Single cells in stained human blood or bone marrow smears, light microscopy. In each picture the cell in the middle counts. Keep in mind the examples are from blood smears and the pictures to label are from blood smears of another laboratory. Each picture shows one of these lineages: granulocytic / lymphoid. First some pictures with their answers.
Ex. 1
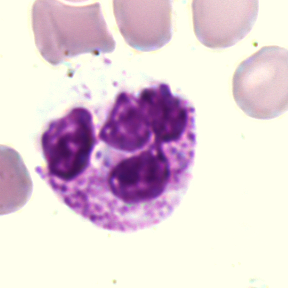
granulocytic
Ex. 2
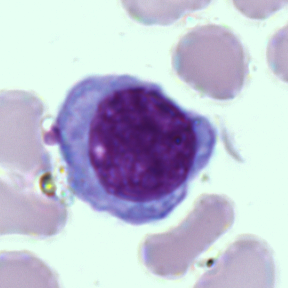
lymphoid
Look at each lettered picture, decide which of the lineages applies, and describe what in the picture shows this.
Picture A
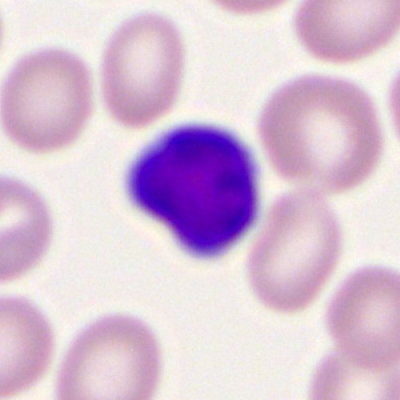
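lymphoid. The nucleus fills almost the whole cell.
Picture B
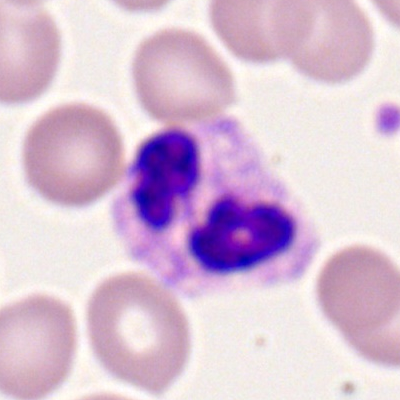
granulocytic. The cytoplasm is plentiful and pale pinkish-lilac.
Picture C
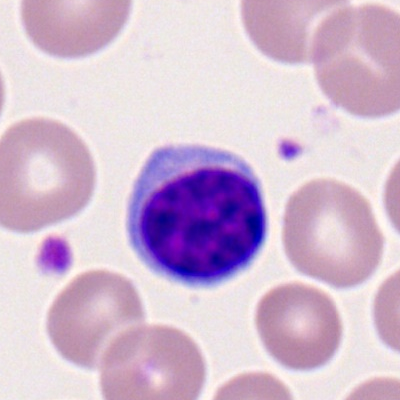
lymphoid. The nucleus fills most of the cell.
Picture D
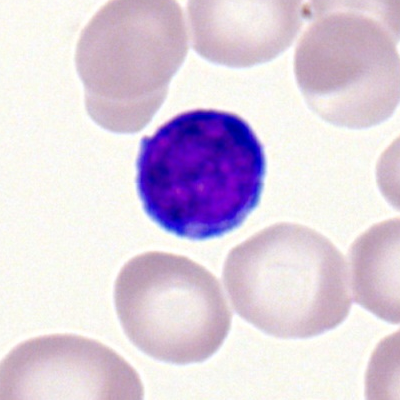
lymphoid. Only a very scant rim of cytoplasm is visible around the nucleus.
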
